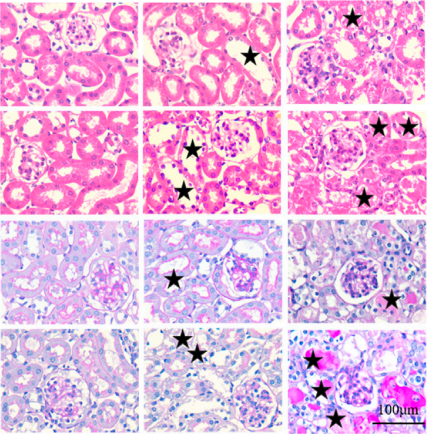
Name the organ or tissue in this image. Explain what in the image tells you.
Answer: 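Round glomerular tufts of capillaries sit inside a surrounding capsular space. The tissue around them is packed with cross-sectioned tubules lined by cuboidal epithelium. So: kidney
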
